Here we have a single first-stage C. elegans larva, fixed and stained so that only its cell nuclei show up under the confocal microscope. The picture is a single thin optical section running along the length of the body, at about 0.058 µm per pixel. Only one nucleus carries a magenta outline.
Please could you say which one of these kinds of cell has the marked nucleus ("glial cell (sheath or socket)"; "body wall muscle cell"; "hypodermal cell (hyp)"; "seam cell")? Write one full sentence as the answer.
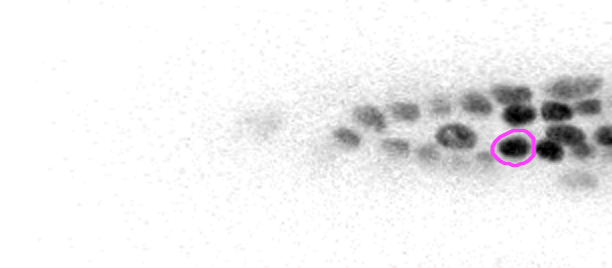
What is marked is the nucleus of a glial cell (sheath or socket).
